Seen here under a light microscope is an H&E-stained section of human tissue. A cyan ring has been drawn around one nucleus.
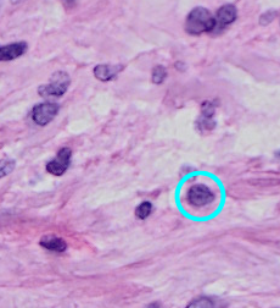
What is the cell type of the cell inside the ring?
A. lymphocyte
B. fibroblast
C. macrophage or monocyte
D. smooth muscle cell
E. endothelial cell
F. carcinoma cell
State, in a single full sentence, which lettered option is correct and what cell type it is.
The choice that fits is option A, as the cell inside the ring is a lymphocyte.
